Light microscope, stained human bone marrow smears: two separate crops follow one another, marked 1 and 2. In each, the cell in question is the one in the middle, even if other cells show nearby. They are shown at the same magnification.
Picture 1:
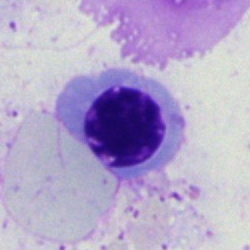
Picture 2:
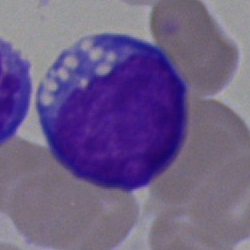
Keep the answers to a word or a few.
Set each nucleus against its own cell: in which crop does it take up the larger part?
2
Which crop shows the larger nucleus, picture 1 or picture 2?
2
